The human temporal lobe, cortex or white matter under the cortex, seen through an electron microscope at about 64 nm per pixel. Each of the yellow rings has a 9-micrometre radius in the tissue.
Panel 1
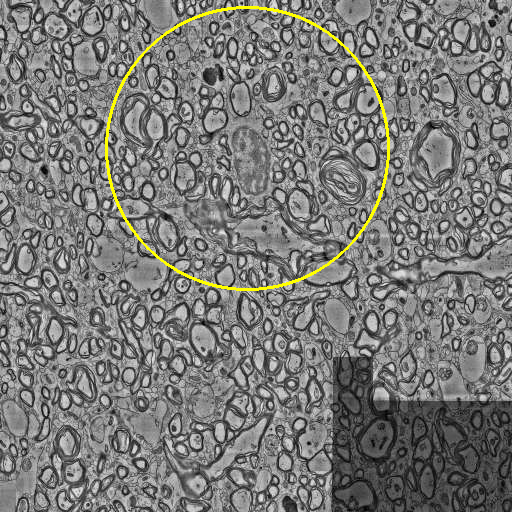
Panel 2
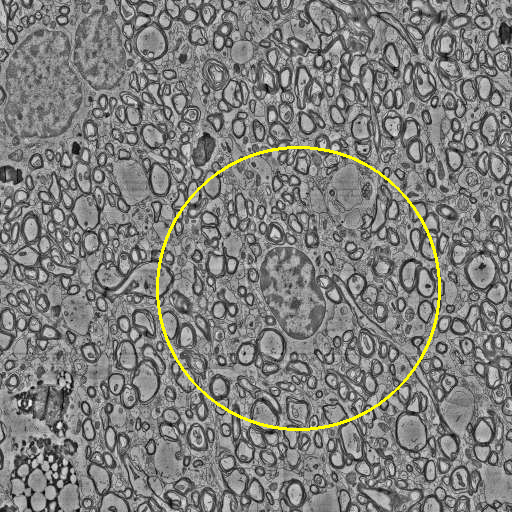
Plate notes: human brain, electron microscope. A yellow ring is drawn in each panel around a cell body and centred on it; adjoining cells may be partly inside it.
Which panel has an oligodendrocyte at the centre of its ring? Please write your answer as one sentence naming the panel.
The ring in Panel 1 is centred on such a cell.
